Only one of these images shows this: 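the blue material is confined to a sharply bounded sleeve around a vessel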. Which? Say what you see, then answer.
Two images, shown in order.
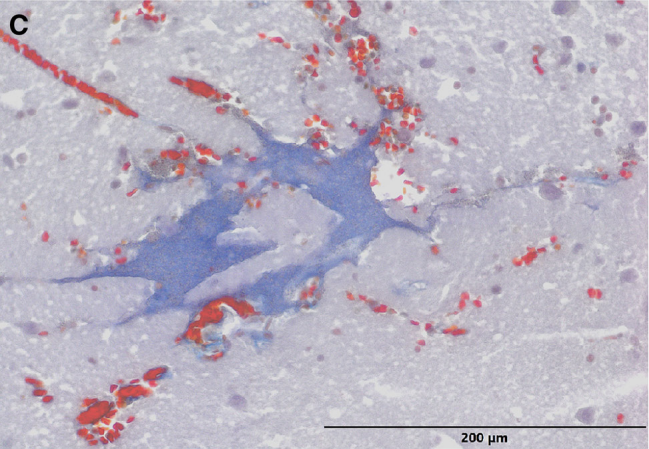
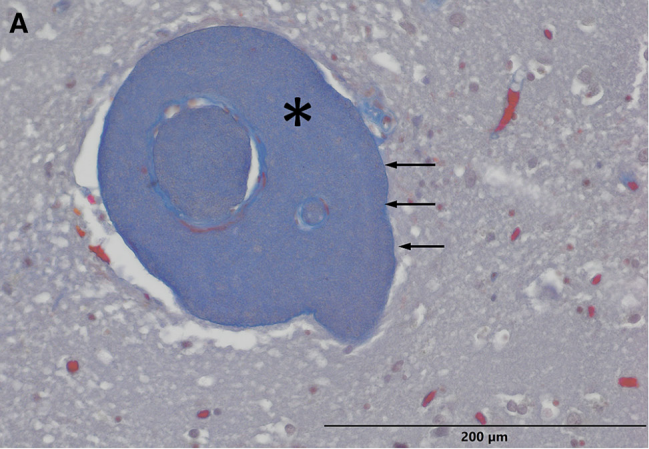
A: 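The second image. First image: irregular, branching blue material spreads into the neural tissue without a clear boundary. Second image: a smooth, sharply edged blue mass surrounds a vessel profile.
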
